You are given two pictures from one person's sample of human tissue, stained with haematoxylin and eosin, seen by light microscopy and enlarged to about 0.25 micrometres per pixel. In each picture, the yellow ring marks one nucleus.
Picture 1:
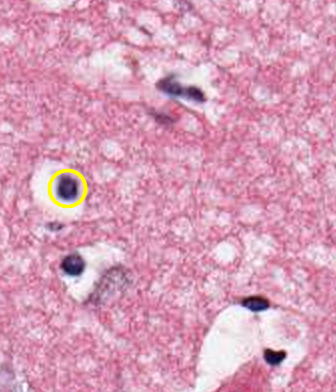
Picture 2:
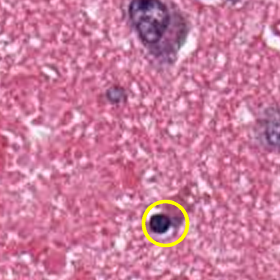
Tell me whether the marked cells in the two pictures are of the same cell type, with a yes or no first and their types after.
Yes, both are oligodendrocytes.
